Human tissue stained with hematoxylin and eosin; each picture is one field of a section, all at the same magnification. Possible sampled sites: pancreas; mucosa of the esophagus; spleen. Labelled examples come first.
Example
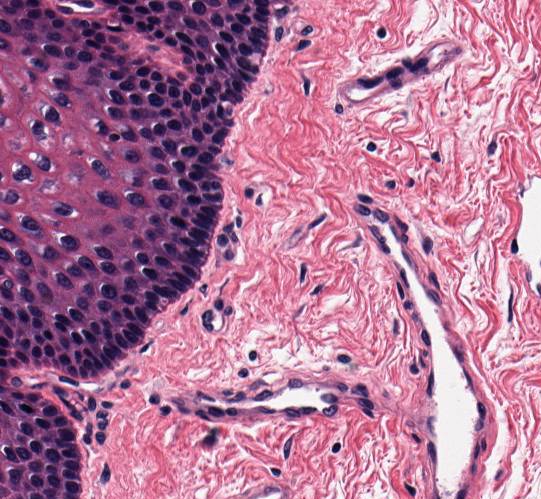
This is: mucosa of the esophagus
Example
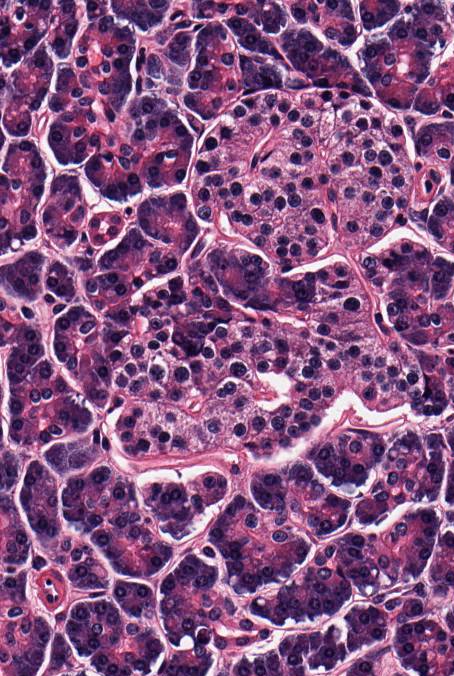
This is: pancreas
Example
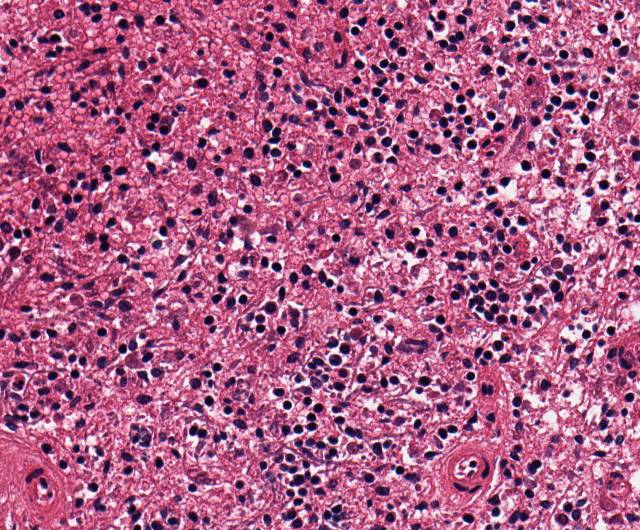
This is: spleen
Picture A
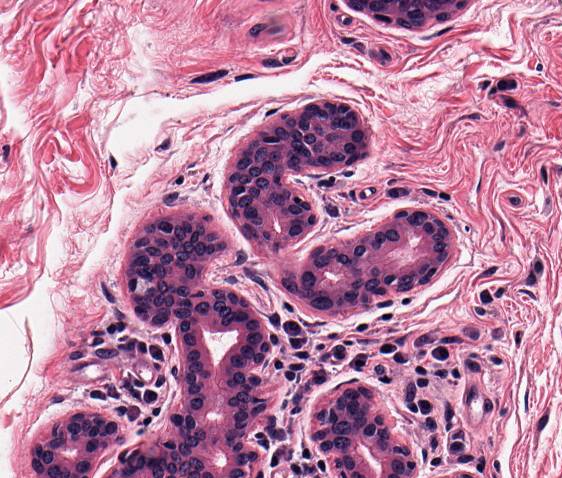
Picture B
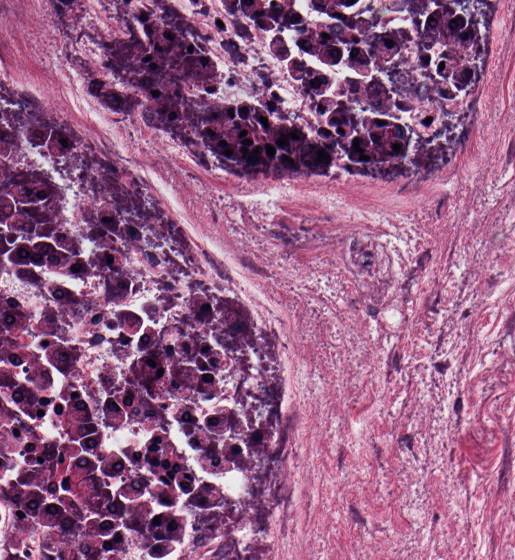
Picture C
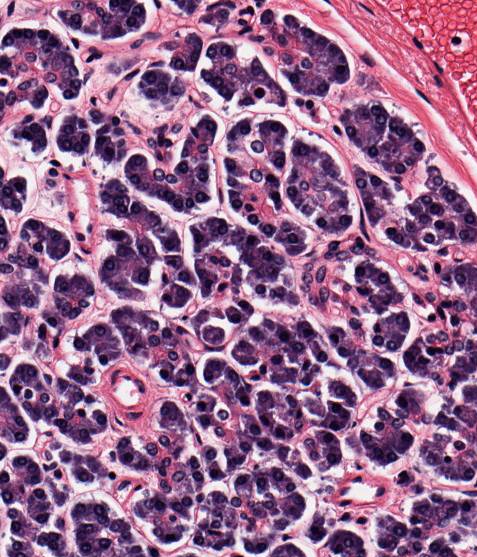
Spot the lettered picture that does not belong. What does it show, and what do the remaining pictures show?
A differs and shows mucosa of the esophagus; the others show pancreas.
